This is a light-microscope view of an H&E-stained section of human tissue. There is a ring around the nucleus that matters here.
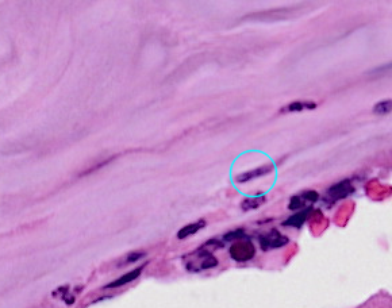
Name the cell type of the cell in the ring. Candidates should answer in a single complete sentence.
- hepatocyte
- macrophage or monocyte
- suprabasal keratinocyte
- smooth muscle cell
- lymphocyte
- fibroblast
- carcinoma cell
On this particular slide, the cell in the ring is a fibroblast.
